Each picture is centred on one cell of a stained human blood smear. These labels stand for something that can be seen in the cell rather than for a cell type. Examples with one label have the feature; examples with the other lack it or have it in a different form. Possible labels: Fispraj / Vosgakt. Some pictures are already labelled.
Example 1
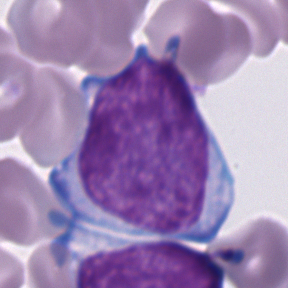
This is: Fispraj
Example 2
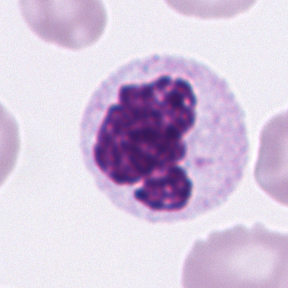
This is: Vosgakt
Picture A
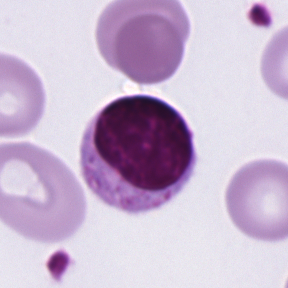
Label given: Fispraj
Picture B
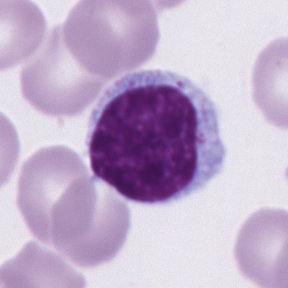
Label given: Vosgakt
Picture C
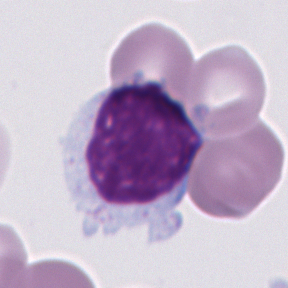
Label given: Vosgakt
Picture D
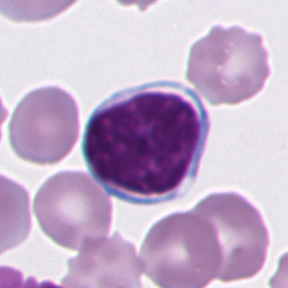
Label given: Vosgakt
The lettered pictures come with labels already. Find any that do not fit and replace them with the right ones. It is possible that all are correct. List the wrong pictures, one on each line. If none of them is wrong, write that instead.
Wrong: A (Fispraj); correct: Vosgakt
Wrong: C (Vosgakt); correct: Fispraj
